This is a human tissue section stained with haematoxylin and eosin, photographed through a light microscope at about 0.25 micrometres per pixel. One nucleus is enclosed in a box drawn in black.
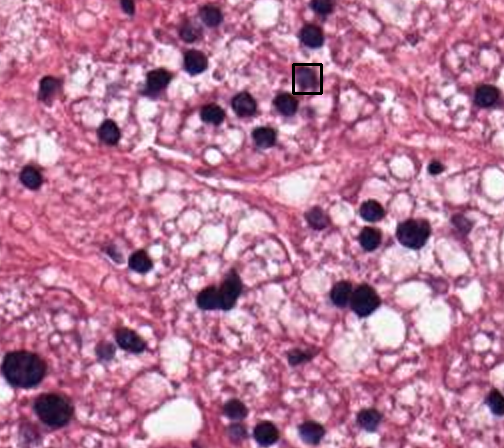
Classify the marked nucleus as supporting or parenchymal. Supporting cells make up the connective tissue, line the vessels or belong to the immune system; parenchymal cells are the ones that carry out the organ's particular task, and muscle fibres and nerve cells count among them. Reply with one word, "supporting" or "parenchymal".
parenchymal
